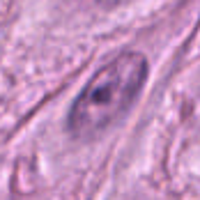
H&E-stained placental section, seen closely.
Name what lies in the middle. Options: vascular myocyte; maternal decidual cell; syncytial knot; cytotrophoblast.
maternal decidual cell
